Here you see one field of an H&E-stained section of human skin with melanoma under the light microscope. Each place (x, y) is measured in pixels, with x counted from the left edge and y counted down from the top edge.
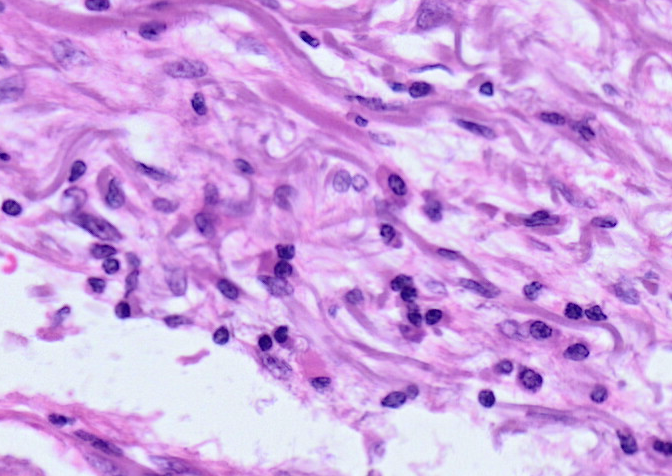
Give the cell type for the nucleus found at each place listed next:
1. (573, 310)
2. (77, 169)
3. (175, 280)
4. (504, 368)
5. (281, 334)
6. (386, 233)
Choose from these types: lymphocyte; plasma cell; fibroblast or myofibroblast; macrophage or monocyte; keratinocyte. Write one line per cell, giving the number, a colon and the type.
1: plasma cell
2: lymphocyte
3: fibroblast or myofibroblast
4: plasma cell
5: plasma cell
6: plasma cell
